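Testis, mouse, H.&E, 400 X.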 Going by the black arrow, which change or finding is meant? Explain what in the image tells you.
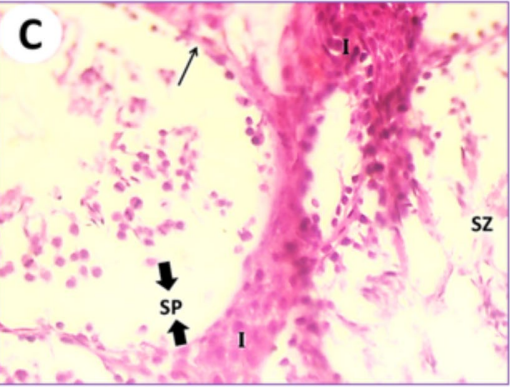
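The tubule wall near the arrow has only a thin, broken row of cells. Loose scattered round cells lie detached in a largely empty lumen. The answer: necrosis of the lining germinal epithelium.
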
